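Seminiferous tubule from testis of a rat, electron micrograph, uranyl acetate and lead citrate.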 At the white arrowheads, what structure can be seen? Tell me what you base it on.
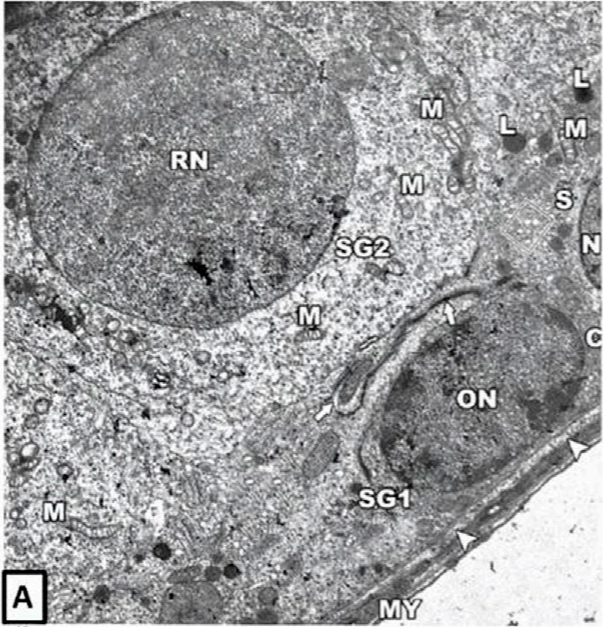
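The arrowheads lie along a thin continuous line at the base of the cells. A thin layered sheath with flattened elongated cells lies beneath this line, next to the empty lumen-free space.
Answer: basement membrane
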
